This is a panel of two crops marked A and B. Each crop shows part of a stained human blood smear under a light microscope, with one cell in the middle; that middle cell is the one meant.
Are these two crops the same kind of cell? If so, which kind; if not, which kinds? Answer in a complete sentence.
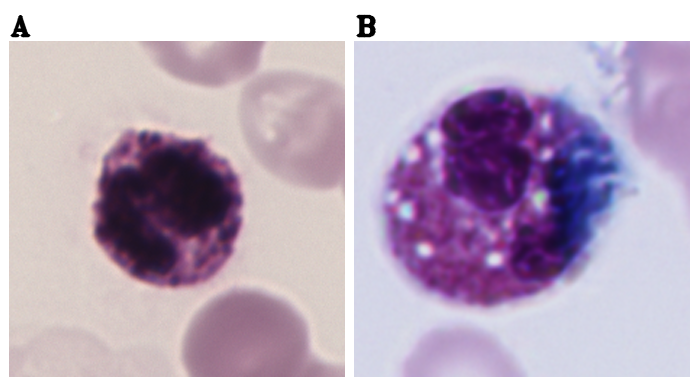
No, it is in crop A that a basophil is shown, and in crop B that an eosinophil is shown.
